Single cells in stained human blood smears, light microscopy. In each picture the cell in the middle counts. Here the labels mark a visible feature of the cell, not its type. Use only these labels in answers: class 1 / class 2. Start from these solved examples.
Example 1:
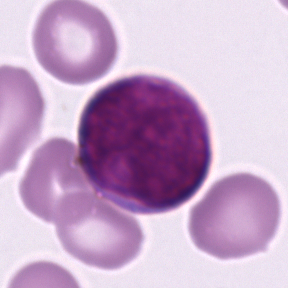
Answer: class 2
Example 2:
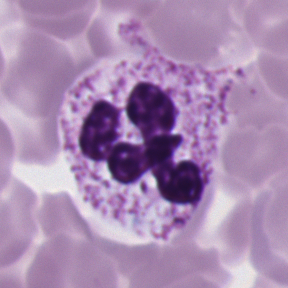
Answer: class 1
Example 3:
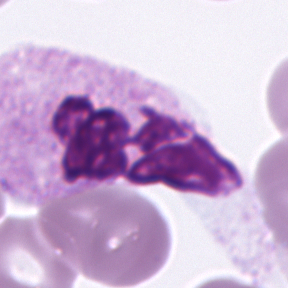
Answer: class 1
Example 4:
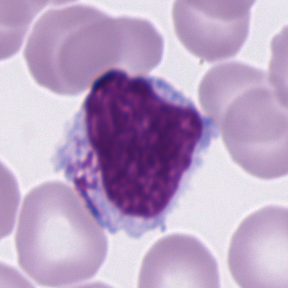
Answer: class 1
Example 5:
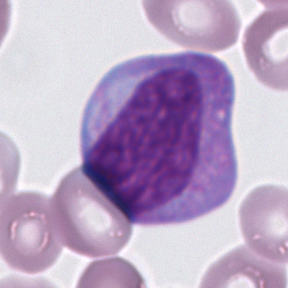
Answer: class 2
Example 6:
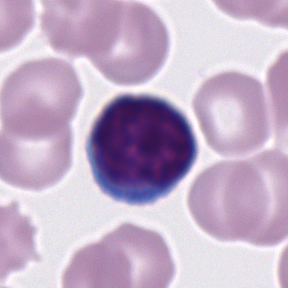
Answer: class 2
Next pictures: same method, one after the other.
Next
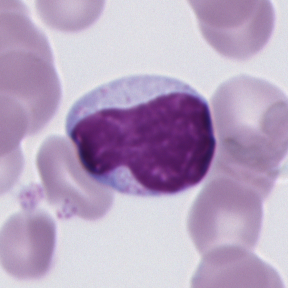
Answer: class 2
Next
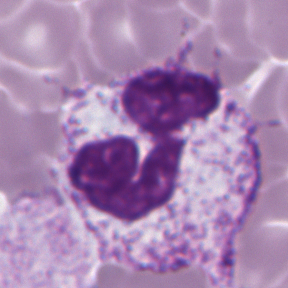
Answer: class 1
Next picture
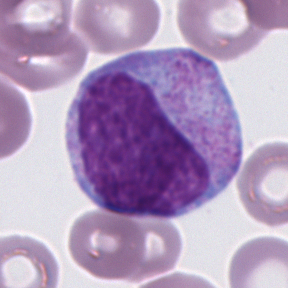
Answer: class 2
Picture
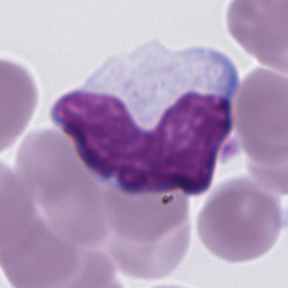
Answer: class 1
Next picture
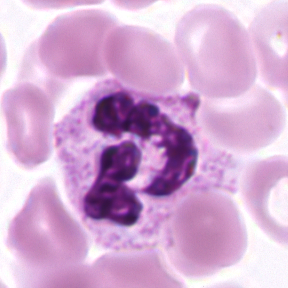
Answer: class 1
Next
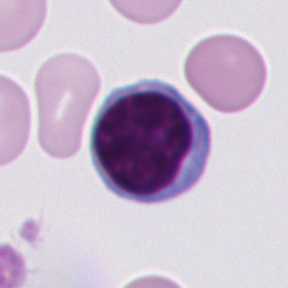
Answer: class 2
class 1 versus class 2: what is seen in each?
Seen in class 1: ragged outline or projections; seen in class 2: smooth outline.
